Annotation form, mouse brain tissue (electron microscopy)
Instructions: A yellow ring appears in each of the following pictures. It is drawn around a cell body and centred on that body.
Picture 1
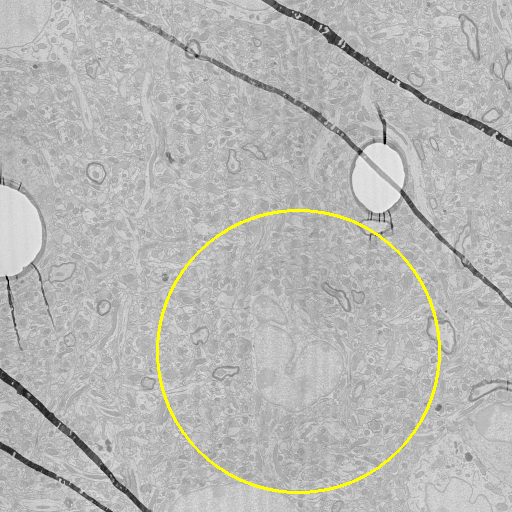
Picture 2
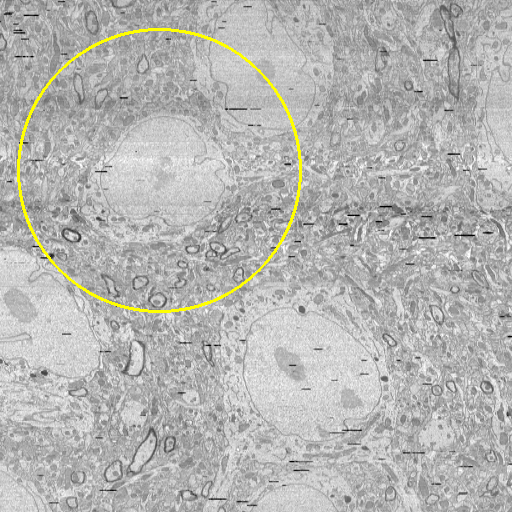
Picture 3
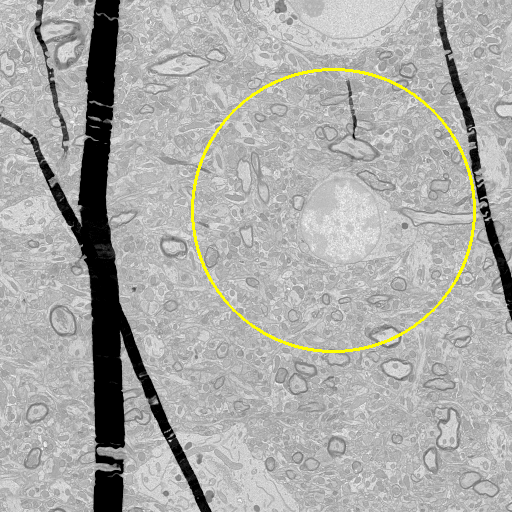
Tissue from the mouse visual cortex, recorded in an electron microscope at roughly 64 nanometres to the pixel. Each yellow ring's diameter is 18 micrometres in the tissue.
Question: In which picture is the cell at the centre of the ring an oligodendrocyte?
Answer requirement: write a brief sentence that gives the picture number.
The cell at the centre of the ring in Picture 3 is the one asked for.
